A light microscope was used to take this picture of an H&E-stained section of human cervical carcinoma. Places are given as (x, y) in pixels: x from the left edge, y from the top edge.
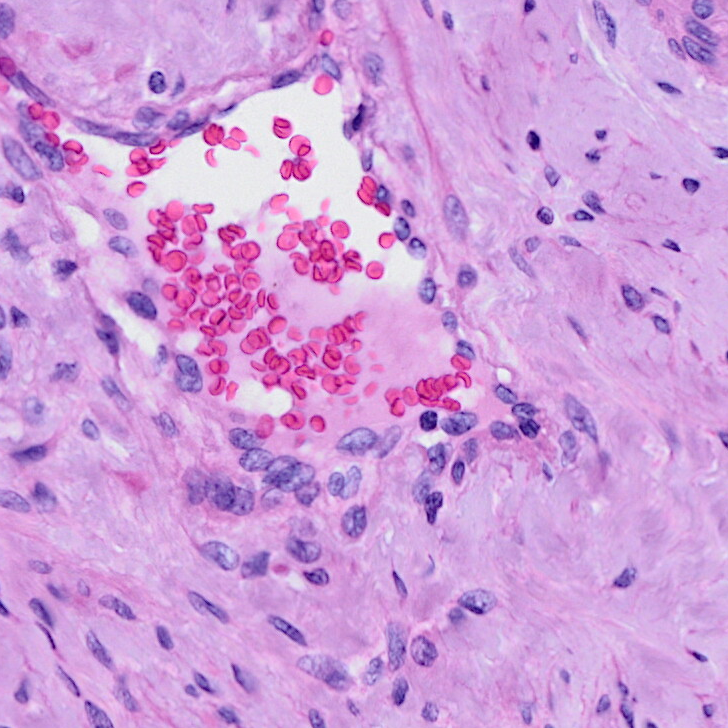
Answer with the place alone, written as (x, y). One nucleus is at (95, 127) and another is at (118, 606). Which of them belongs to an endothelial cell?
(95, 127)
